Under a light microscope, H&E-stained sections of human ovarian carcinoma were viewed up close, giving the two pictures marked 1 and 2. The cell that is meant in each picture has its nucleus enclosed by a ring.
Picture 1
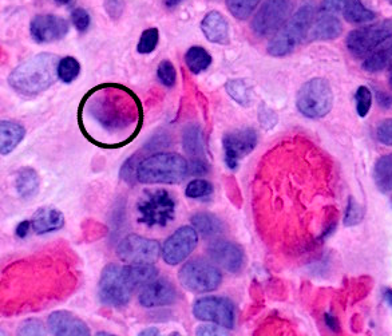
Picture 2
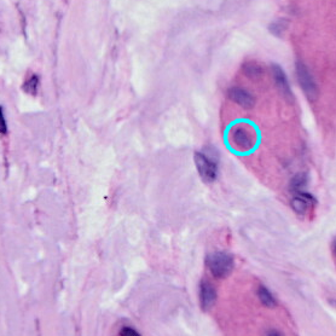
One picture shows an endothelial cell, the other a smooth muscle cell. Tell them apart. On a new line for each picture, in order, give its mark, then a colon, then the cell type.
1: endothelial cell
2: smooth muscle cell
